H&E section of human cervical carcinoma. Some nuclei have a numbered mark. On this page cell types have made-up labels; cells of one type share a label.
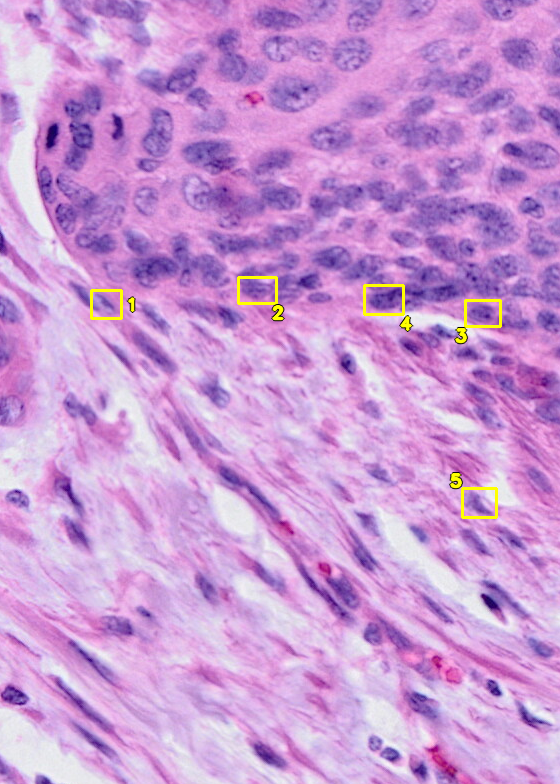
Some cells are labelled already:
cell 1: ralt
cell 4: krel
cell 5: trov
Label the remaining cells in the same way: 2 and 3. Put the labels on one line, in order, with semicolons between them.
krel; krel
